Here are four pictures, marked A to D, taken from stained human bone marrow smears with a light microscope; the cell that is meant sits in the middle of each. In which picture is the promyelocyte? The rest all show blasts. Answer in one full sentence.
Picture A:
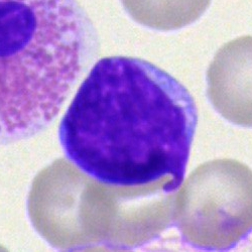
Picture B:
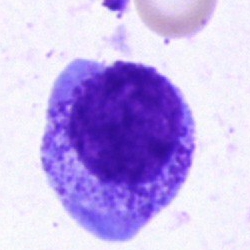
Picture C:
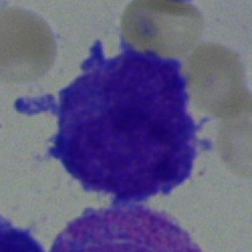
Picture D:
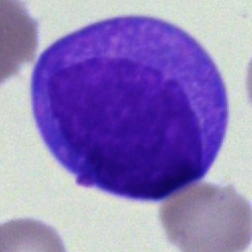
The cell in picture B is the promyelocyte.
